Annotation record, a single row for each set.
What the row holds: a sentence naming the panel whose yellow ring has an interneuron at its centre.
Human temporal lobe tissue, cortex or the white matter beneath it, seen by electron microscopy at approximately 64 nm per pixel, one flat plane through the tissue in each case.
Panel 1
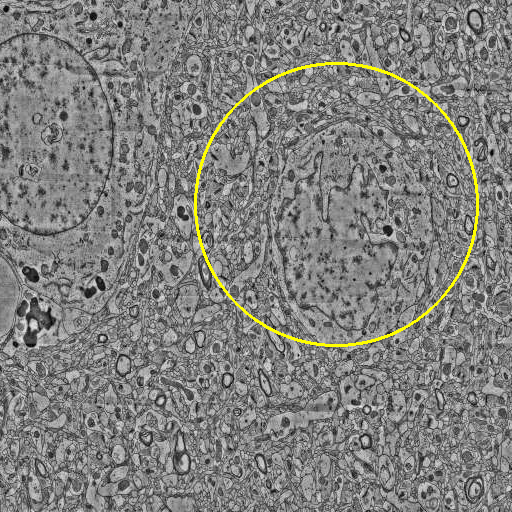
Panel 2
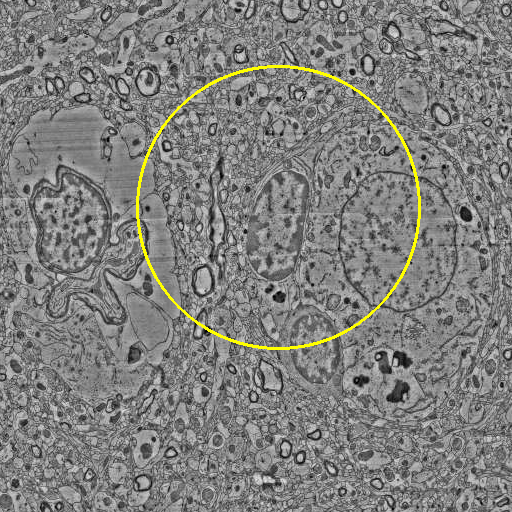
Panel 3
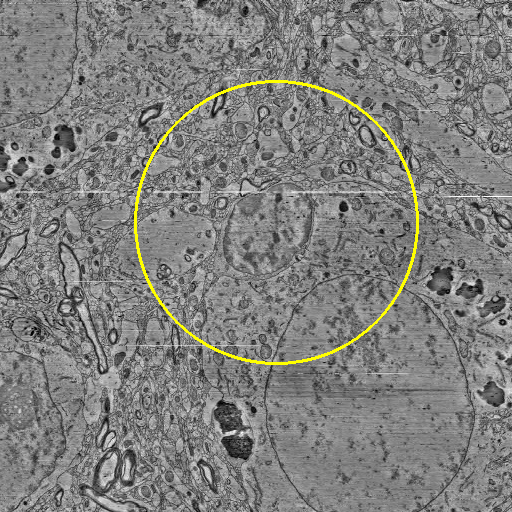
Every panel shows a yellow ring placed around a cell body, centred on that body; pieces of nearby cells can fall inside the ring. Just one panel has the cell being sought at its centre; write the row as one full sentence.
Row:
In panel 1, the cell at the middle of the yellow ring is the one sought.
